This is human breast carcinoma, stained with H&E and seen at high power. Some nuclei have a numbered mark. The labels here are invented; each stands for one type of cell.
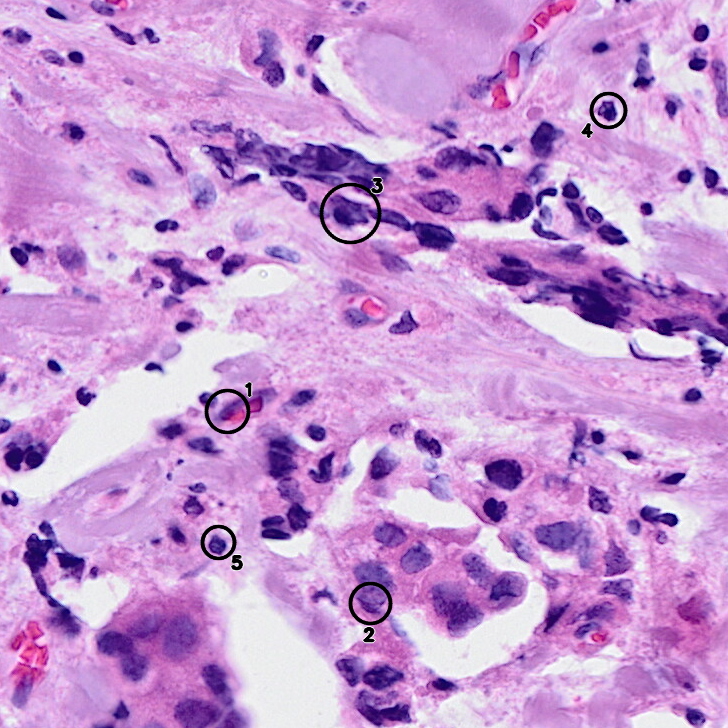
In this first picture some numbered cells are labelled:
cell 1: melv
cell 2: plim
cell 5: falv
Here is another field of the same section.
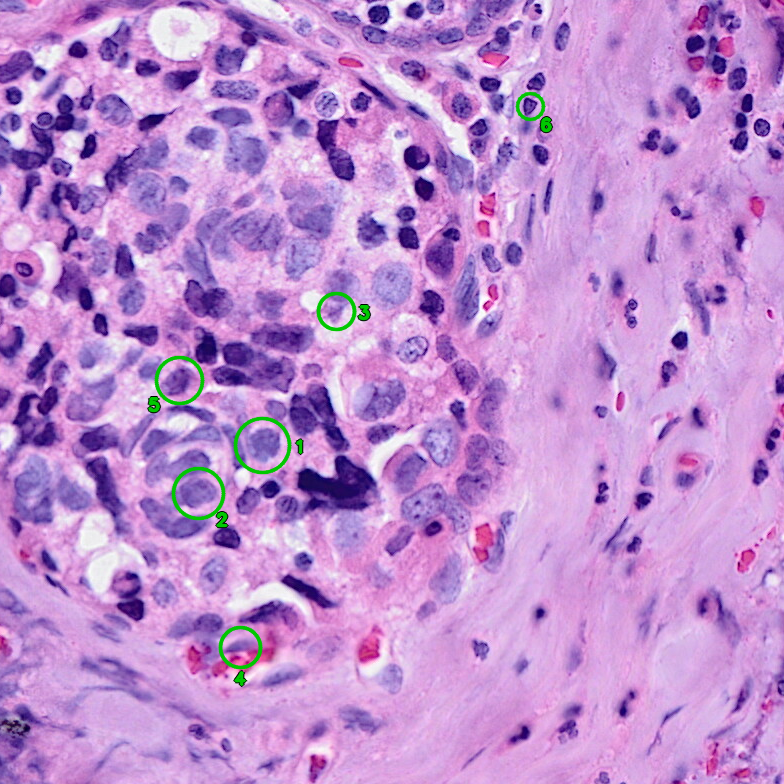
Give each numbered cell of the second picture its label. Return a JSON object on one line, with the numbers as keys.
{"1": "plim", "2": "plim", "3": "plim", "4": "melv", "5": "plim", "6": "falv"}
